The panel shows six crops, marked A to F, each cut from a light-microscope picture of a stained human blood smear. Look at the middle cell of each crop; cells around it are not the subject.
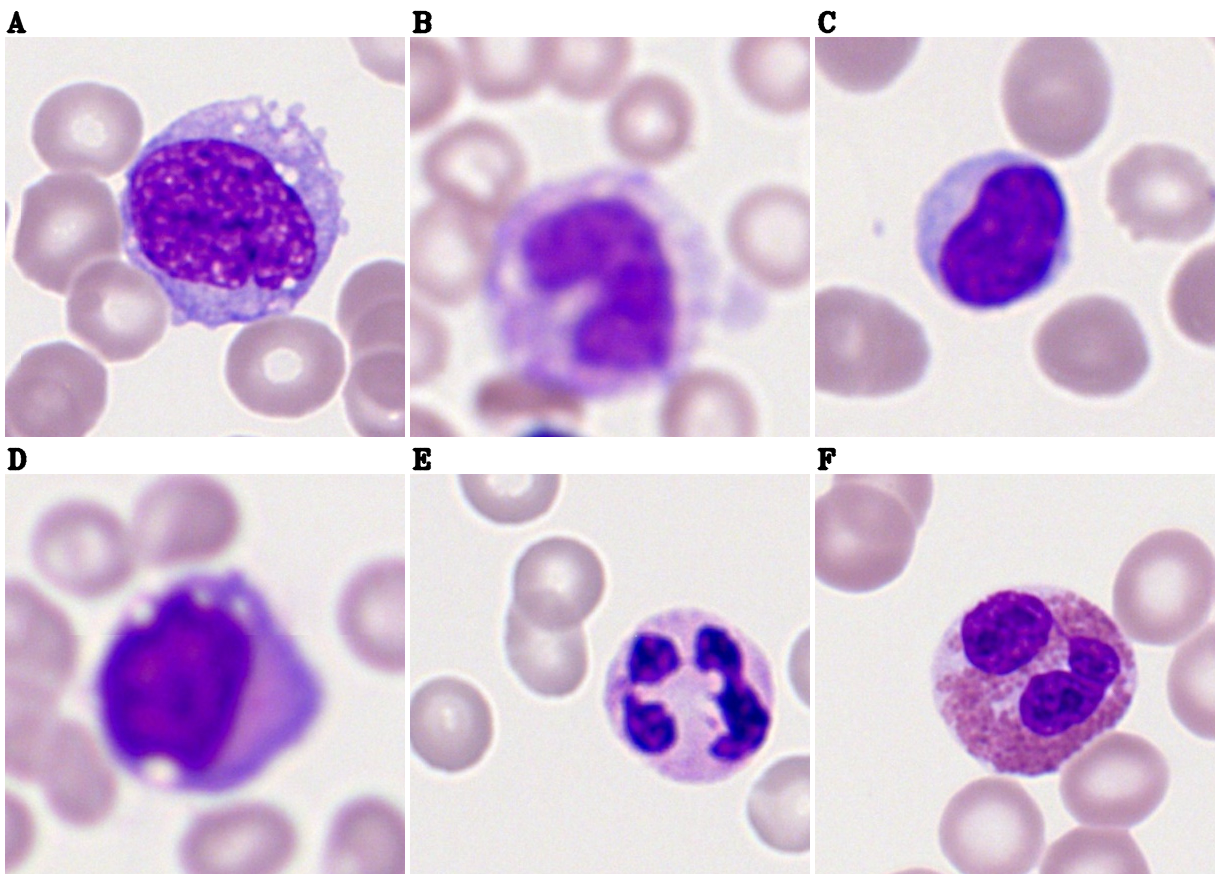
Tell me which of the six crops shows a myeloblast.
D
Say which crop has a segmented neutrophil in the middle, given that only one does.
E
